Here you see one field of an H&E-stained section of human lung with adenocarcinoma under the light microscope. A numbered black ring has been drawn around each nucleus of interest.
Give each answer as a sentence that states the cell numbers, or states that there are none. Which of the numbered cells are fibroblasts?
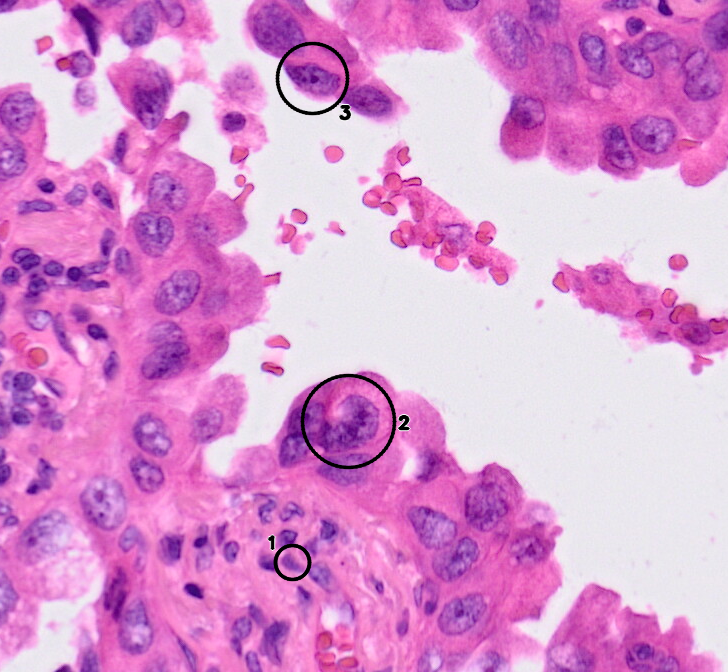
The tally for fibroblasts among the numbered cells is zero.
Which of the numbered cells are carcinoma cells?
The cells tagged 2 and 3 are carcinoma cells in this tissue section.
